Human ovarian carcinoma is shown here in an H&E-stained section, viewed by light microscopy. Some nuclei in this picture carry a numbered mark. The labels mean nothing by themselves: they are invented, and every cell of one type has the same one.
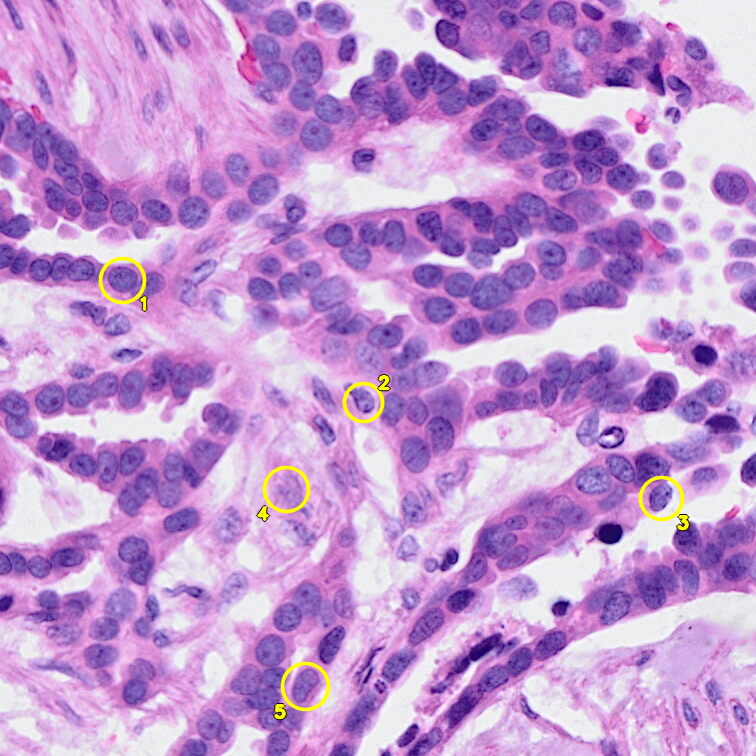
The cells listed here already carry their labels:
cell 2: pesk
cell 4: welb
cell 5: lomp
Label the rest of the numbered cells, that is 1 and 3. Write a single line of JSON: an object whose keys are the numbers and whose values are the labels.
{"1": "lomp", "3": "pesk"}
